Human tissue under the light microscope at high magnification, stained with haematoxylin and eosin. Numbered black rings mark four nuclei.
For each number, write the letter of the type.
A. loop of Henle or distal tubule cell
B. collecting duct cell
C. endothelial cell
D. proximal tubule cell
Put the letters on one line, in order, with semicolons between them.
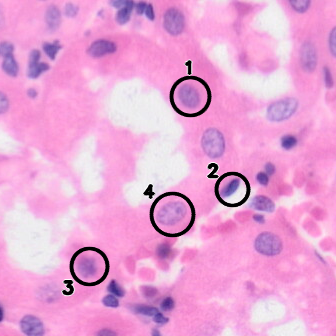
D; C; D; D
